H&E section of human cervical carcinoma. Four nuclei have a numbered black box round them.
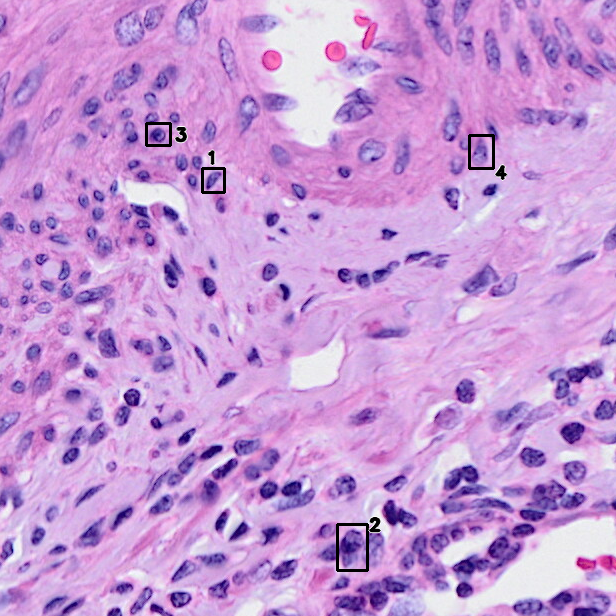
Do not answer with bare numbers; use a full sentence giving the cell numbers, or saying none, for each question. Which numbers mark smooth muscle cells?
The cells numbered 1, 3 and 4 are of the kind known as smooth muscle cells.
